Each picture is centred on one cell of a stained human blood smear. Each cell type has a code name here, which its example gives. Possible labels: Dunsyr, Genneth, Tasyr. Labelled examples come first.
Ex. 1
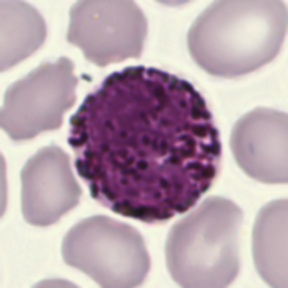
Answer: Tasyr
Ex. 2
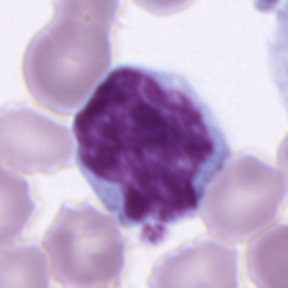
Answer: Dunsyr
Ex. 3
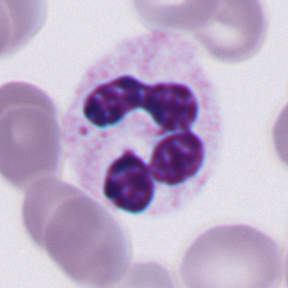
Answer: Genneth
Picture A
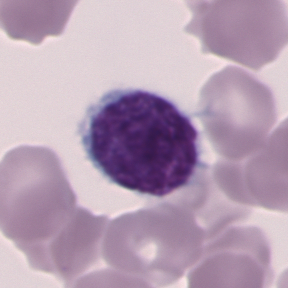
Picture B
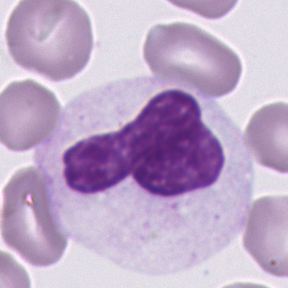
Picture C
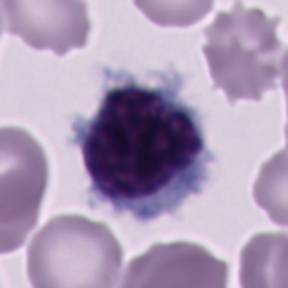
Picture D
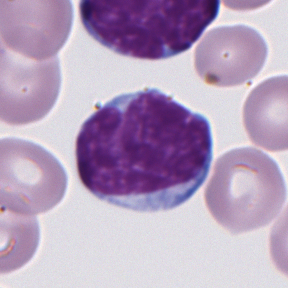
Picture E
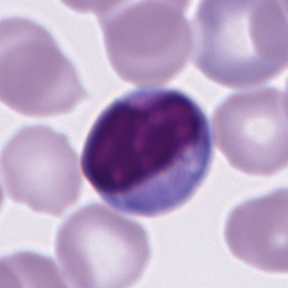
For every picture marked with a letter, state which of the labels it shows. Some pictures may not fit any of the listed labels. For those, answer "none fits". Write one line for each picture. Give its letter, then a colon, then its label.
A: none fits
B: Genneth
C: none fits
D: Dunsyr
E: Dunsyr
